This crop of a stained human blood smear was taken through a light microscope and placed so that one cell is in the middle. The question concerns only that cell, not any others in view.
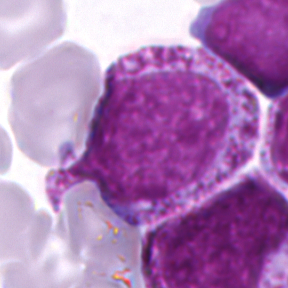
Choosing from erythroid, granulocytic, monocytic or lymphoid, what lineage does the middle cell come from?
granulocytic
